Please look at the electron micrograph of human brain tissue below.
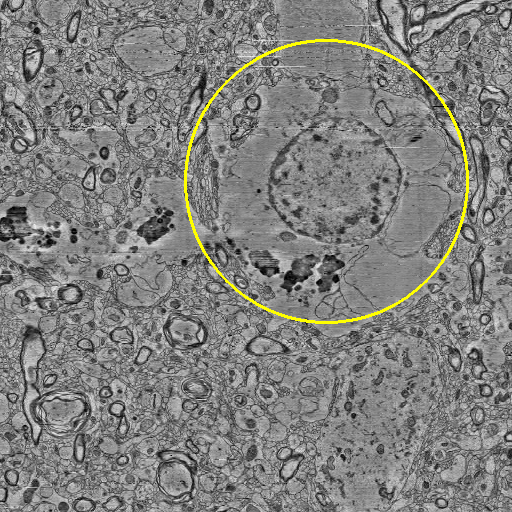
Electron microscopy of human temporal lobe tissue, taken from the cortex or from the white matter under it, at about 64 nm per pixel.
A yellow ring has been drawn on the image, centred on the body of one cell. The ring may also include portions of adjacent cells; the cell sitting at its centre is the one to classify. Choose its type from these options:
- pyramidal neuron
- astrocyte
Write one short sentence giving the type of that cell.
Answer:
The cell in the middle of the ring is an astrocyte.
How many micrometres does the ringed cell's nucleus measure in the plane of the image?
The nucleus comes to roughly 8 micrometres across in this plane.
